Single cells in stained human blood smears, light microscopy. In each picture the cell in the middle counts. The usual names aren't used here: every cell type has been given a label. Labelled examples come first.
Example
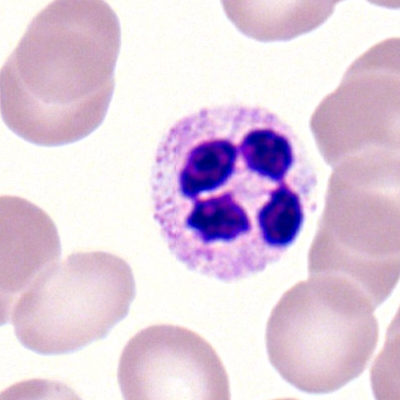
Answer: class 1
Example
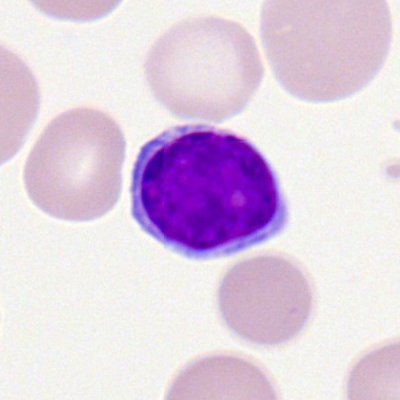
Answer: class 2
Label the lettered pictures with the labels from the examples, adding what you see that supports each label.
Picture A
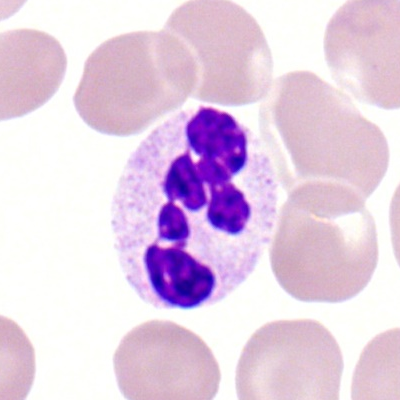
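class 1. The cytoplasm is plentiful and pale pinkish-lilac.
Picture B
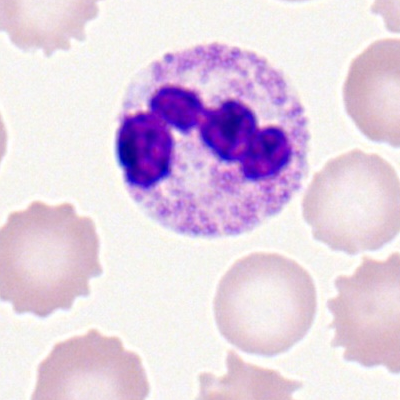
class 1. The nucleus is divided into four lobes.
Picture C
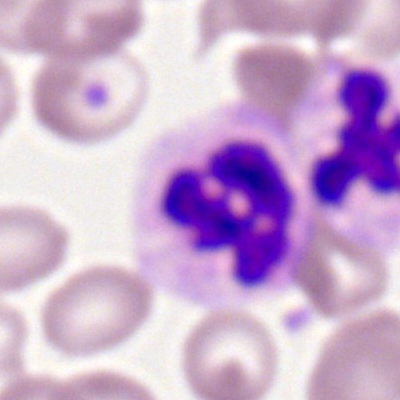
class 1. The nucleus is divided into several connected lobes.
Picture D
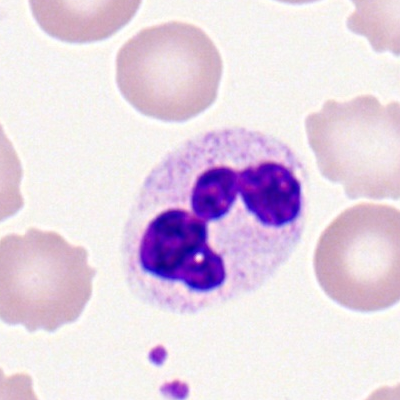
class 1. The cytoplasm is plentiful and pale pinkish-lilac.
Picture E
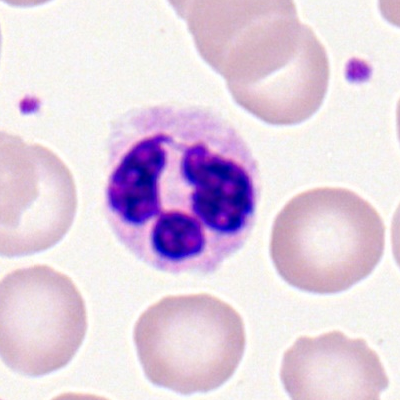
class 1. The nucleus is divided into three lobes.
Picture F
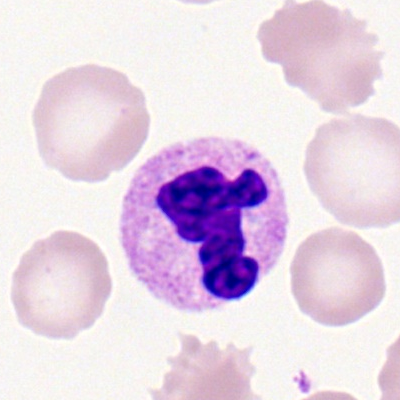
class 1. The cytoplasm is abundant and pale pinkish-lilac.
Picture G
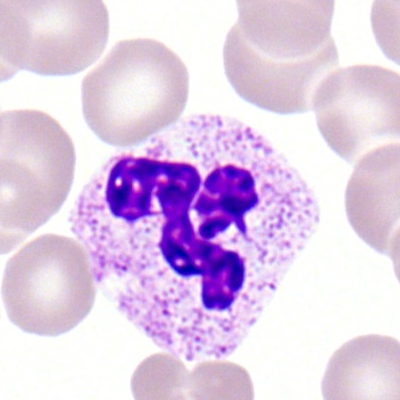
class 1. The cytoplasm is plentiful and pale pinkish-lilac.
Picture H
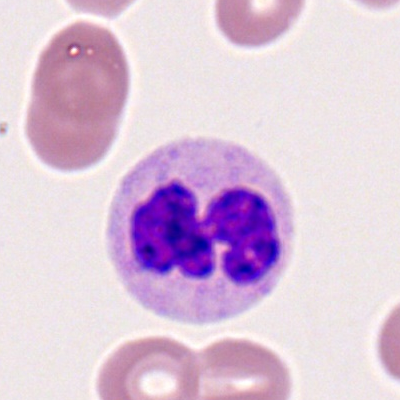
class 1. The two nuclear lobes lie side by side, left and right.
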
